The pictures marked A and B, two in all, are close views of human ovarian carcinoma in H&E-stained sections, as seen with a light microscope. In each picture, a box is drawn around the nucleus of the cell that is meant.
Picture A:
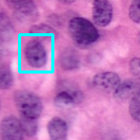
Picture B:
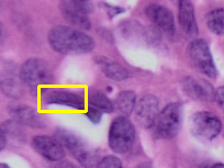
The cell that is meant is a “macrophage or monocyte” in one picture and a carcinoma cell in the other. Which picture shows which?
A: macrophage or monocyte
B: carcinoma cell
